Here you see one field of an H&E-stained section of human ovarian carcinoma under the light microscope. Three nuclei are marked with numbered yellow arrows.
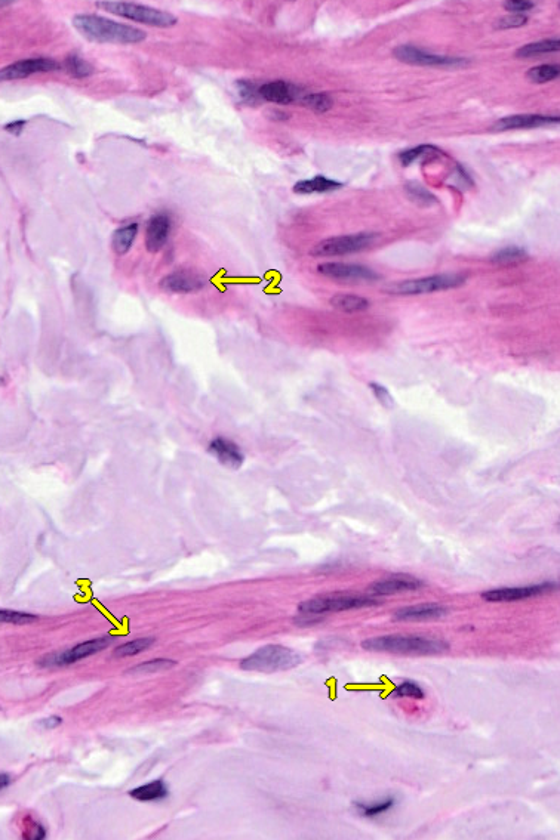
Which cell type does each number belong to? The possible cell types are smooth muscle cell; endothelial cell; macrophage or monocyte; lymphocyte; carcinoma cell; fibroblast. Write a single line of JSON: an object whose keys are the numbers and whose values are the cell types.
{"1": "endothelial cell", "2": "smooth muscle cell", "3": "smooth muscle cell"}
